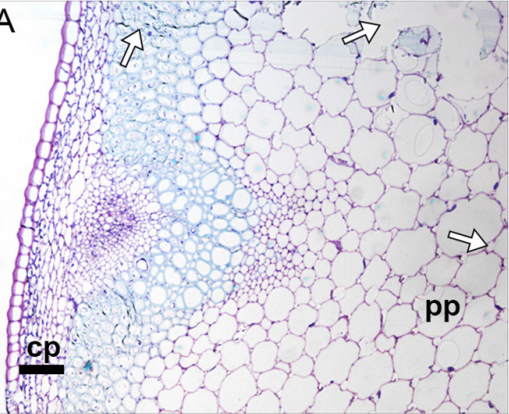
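Transverse section of a stem with a pink-purple epidermis at the left edge, a narrow cortical parenchyma beneath, then a vascular region with small densely packed purple cells and pale blue thick-walled cells, grading into large thin-walled pith parenchyma cells at the right. Walls are thin and sharply drawn. In places cells are torn or their walls folded and detached.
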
